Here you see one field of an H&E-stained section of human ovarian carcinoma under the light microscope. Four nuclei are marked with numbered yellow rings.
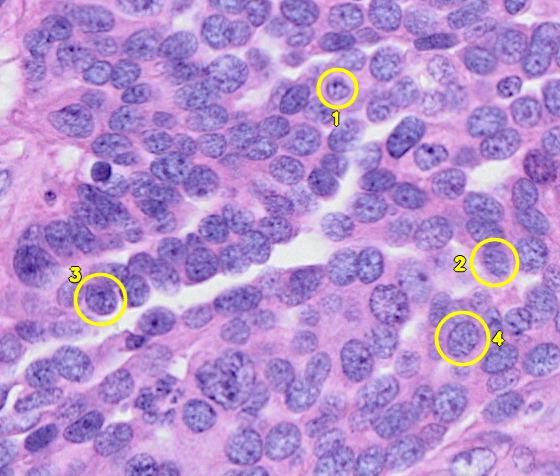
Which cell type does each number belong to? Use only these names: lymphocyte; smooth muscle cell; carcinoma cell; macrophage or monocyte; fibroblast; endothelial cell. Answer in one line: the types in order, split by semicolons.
macrophage or monocyte; carcinoma cell; carcinoma cell; carcinoma cell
